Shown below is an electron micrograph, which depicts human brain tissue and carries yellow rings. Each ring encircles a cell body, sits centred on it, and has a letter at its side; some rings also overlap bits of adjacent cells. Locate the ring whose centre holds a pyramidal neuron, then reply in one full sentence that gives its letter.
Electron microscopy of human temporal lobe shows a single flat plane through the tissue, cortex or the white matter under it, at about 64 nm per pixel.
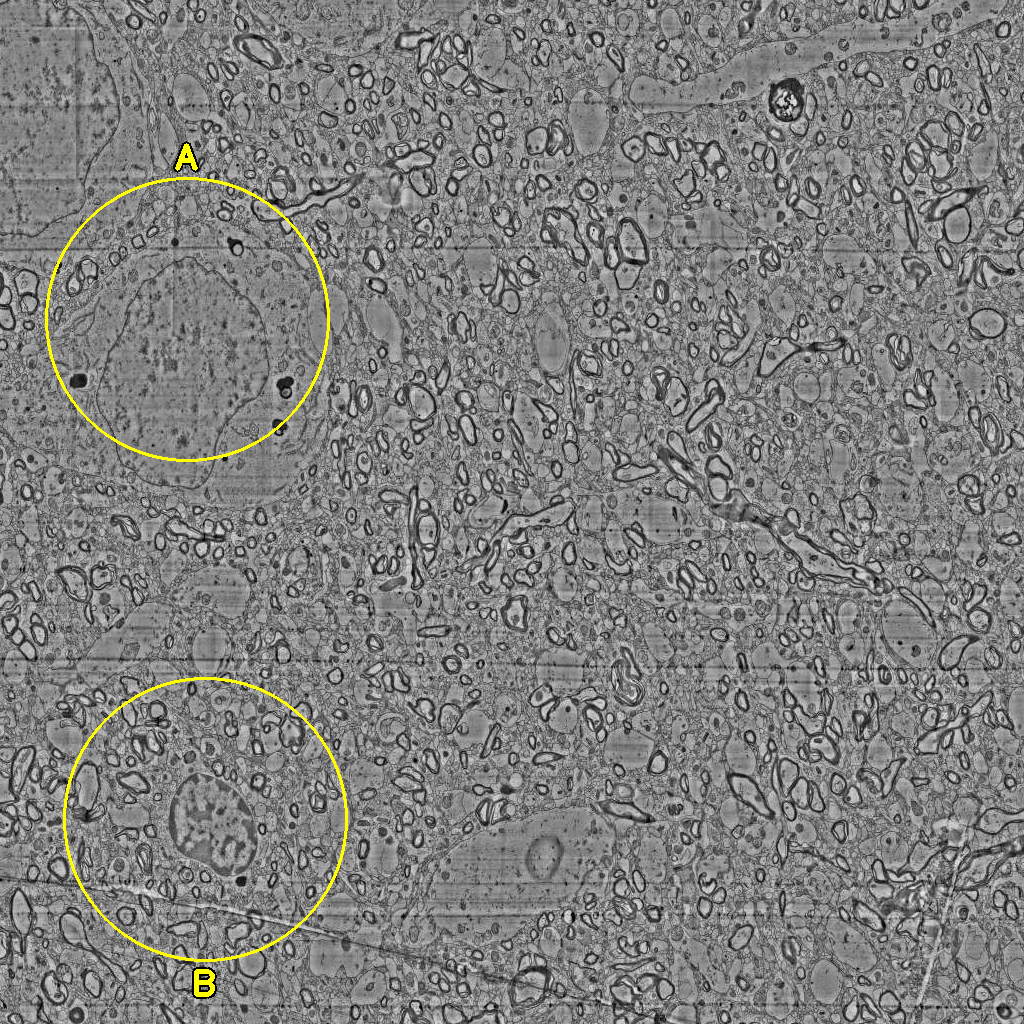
The ring centred on the cell asked for is the one marked A.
